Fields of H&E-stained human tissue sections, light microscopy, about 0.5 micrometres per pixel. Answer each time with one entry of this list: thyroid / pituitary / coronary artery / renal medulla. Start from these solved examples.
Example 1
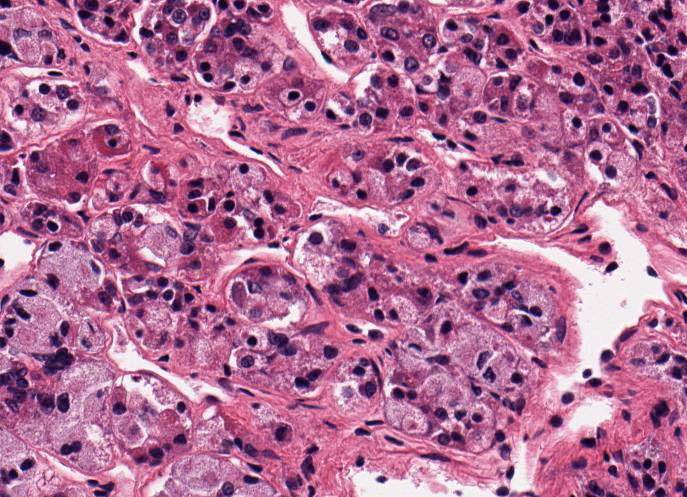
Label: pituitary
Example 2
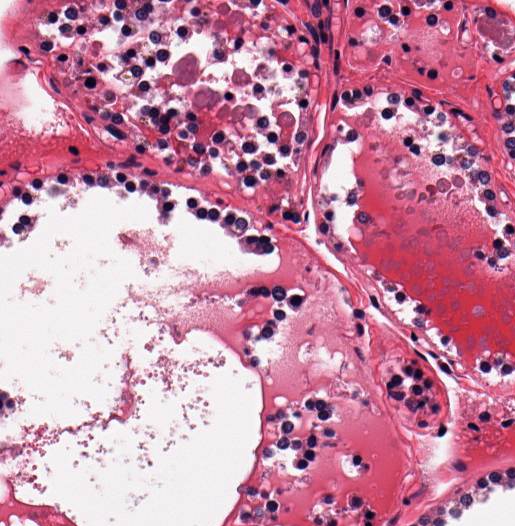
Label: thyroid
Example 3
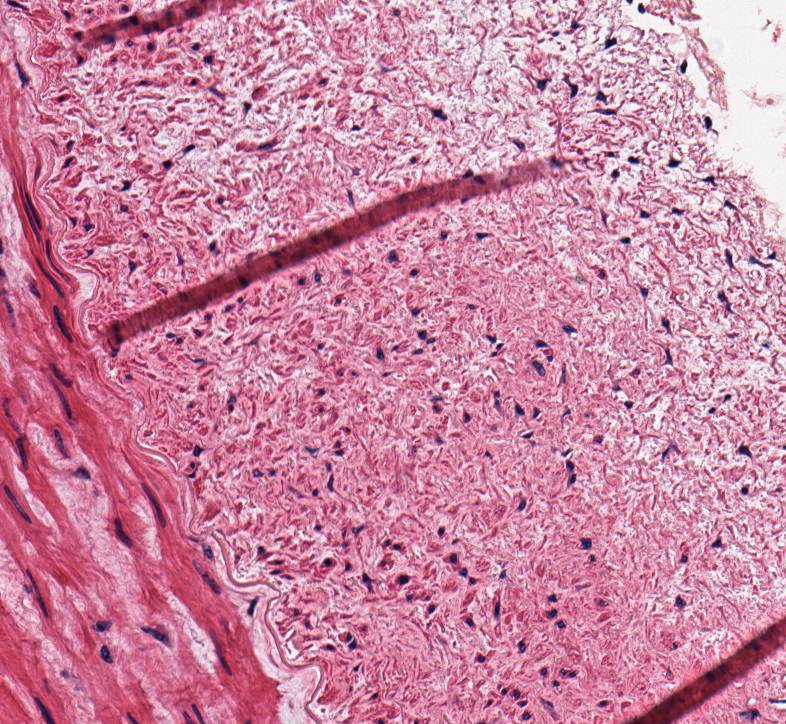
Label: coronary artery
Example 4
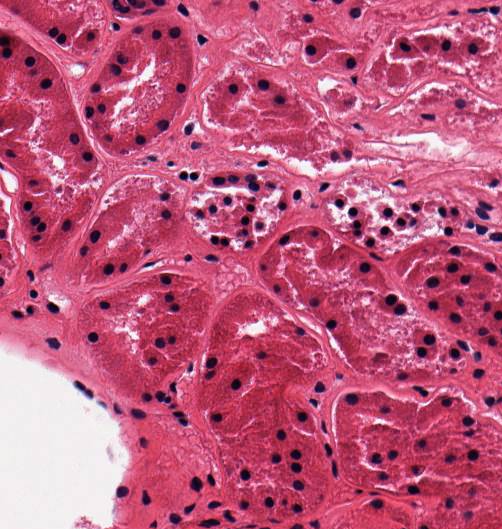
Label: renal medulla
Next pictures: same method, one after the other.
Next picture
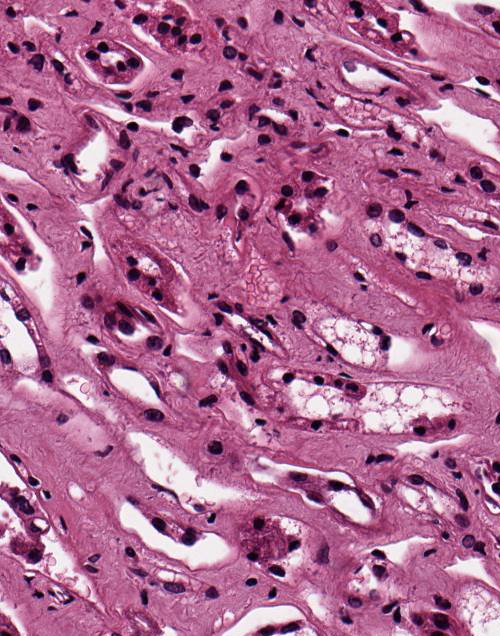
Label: renal medulla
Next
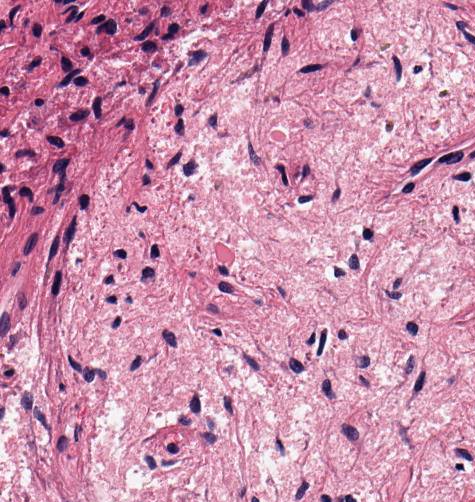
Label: pituitary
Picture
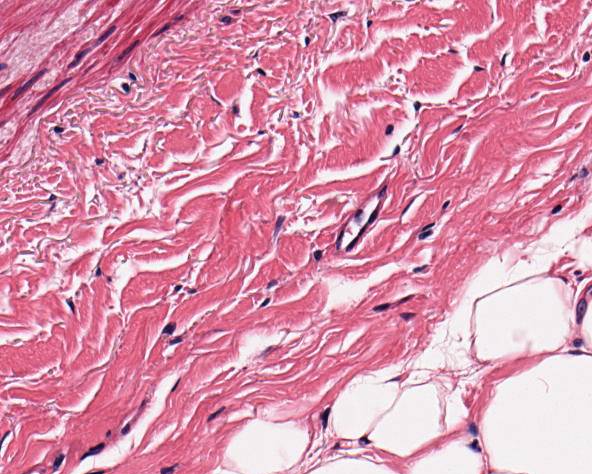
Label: coronary artery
